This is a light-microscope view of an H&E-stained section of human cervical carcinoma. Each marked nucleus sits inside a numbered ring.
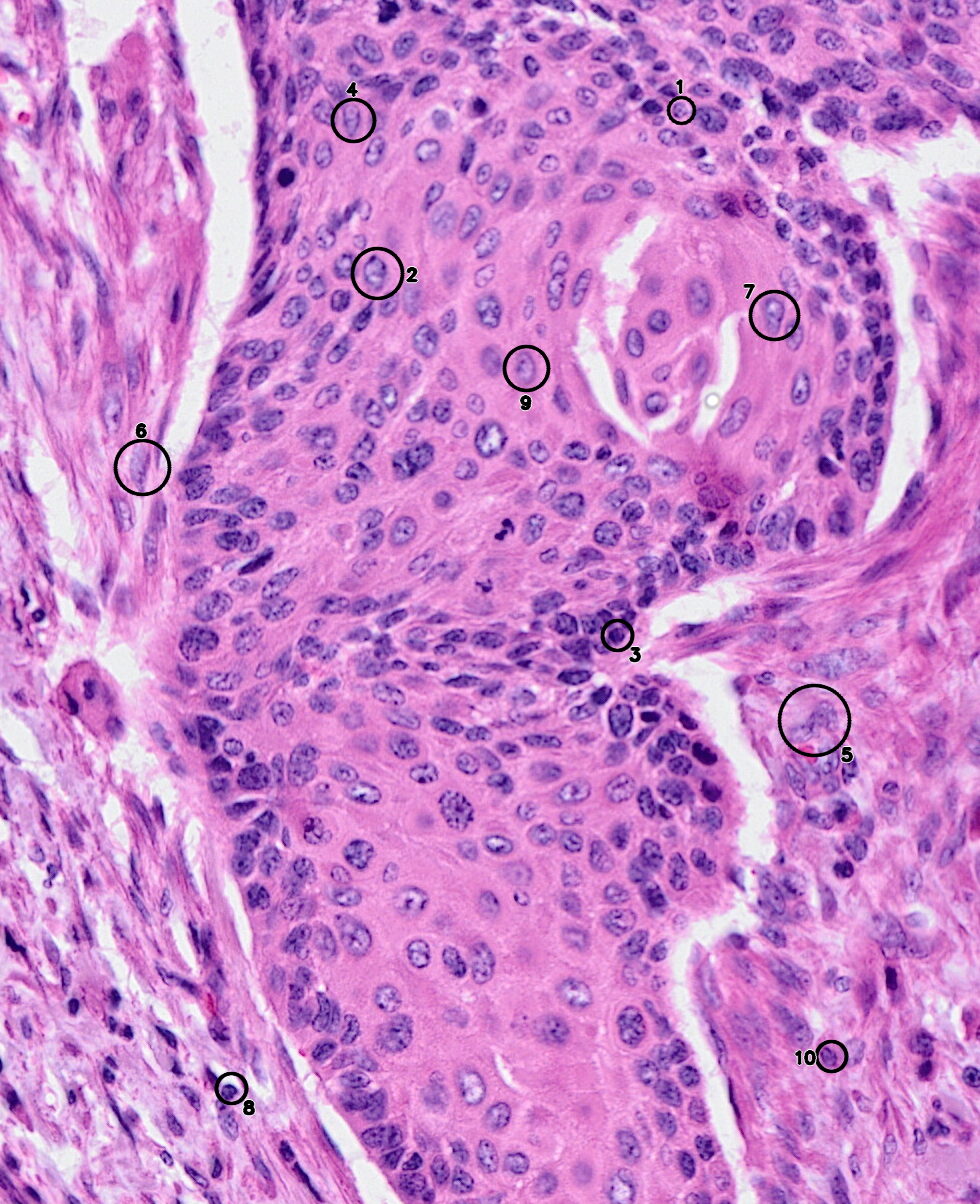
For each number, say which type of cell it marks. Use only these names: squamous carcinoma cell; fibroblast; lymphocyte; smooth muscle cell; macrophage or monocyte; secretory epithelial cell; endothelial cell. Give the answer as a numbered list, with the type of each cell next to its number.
1. squamous carcinoma cell
2. squamous carcinoma cell
3. squamous carcinoma cell
4. squamous carcinoma cell
5. endothelial cell
6. fibroblast
7. squamous carcinoma cell
8. lymphocyte
9. squamous carcinoma cell
10. macrophage or monocyte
